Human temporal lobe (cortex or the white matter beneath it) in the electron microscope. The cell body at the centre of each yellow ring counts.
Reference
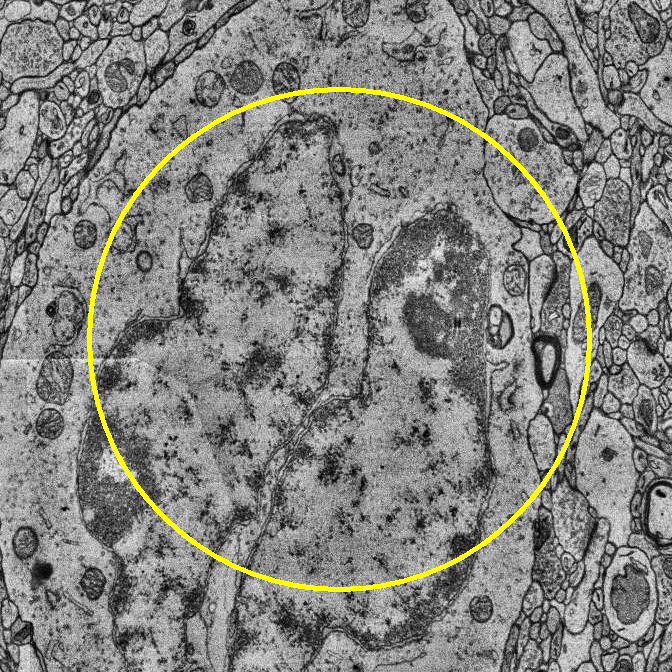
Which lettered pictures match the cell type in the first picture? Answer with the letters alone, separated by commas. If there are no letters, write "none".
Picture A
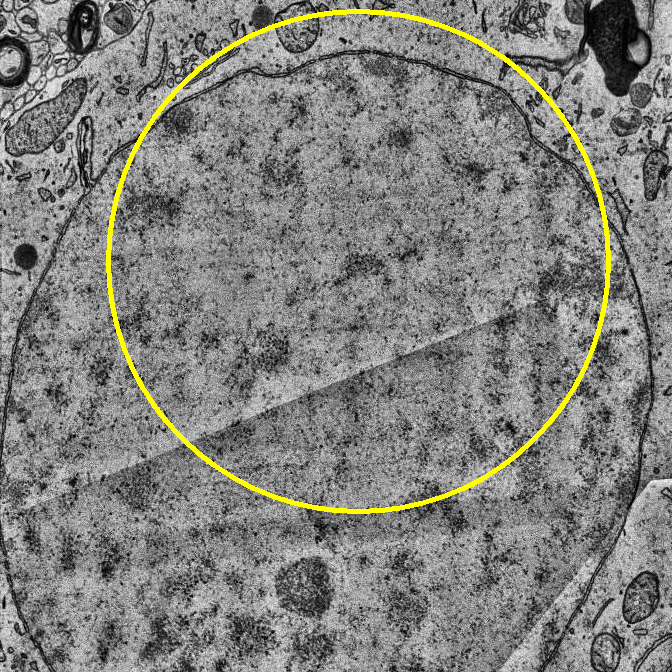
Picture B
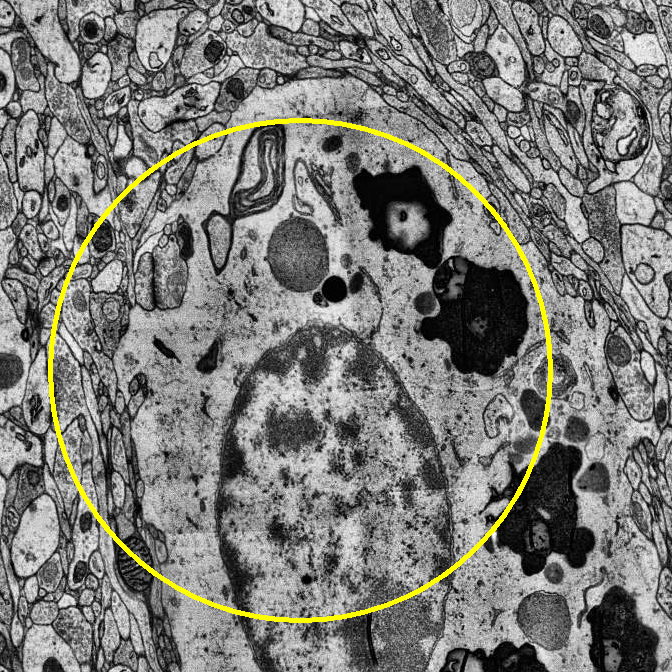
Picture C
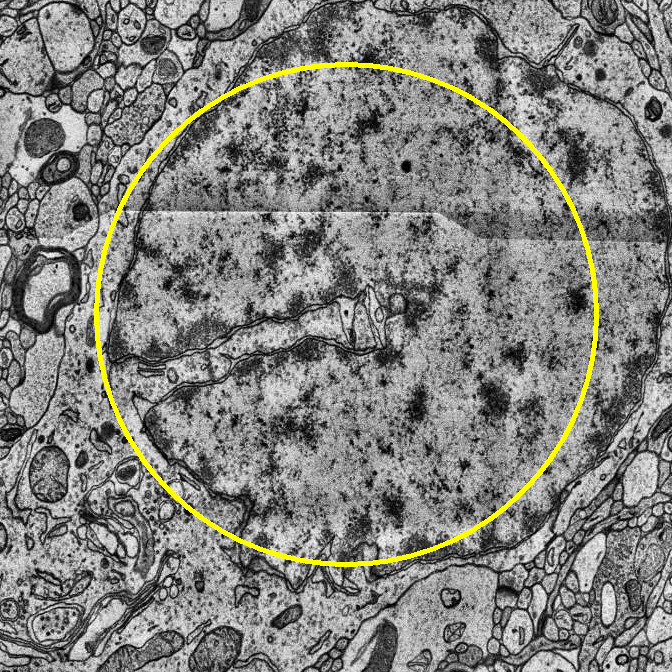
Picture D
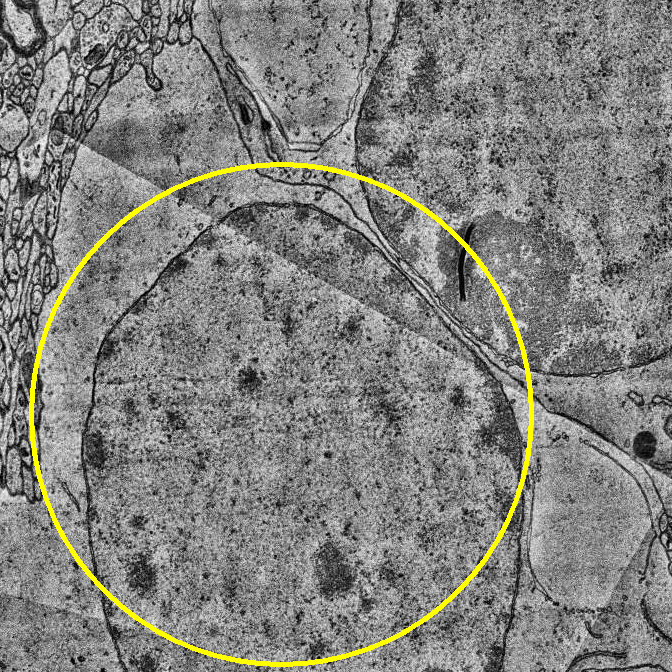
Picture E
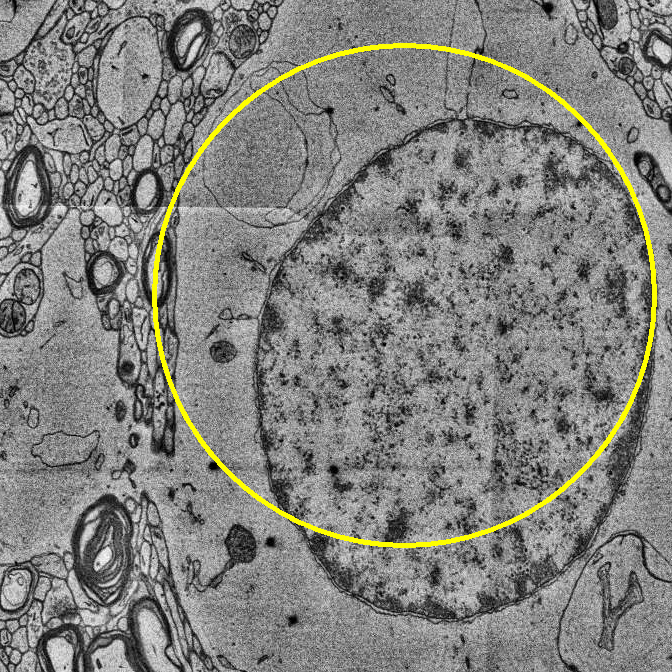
C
